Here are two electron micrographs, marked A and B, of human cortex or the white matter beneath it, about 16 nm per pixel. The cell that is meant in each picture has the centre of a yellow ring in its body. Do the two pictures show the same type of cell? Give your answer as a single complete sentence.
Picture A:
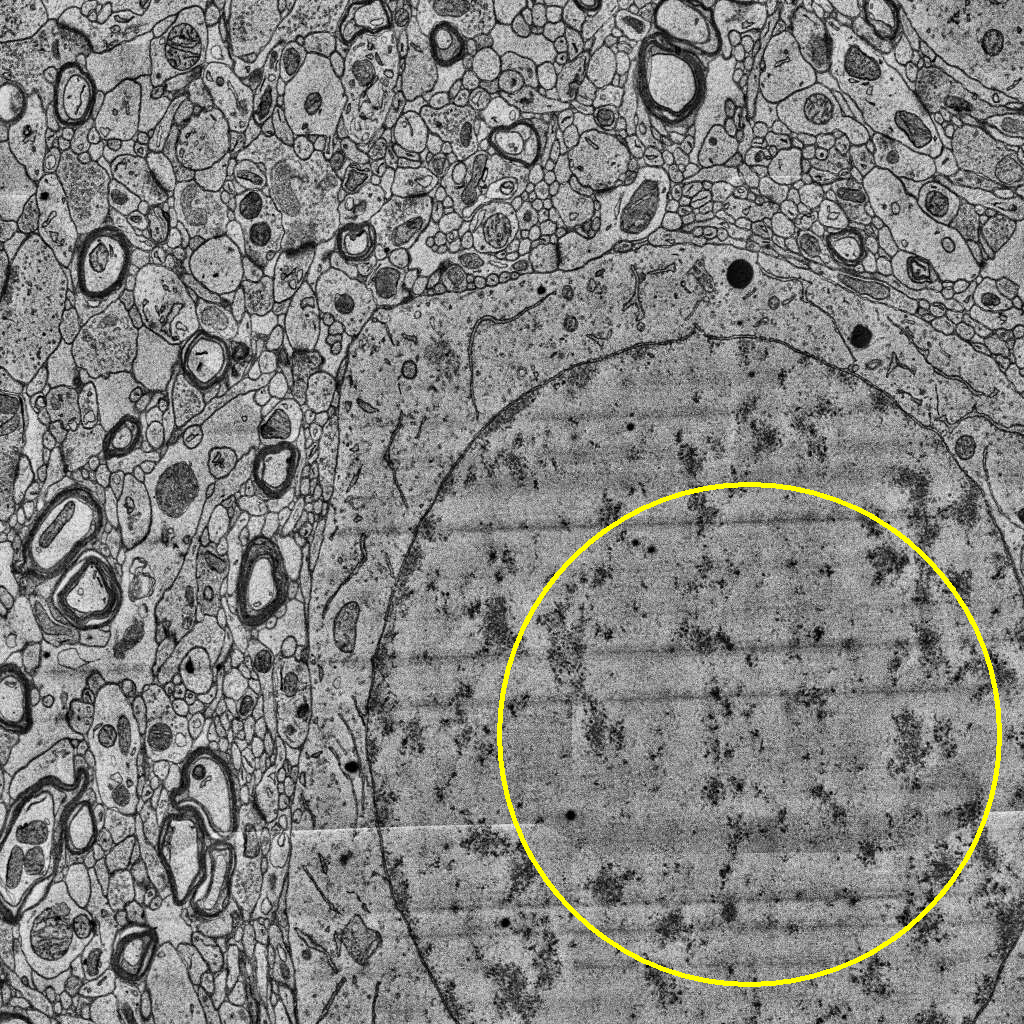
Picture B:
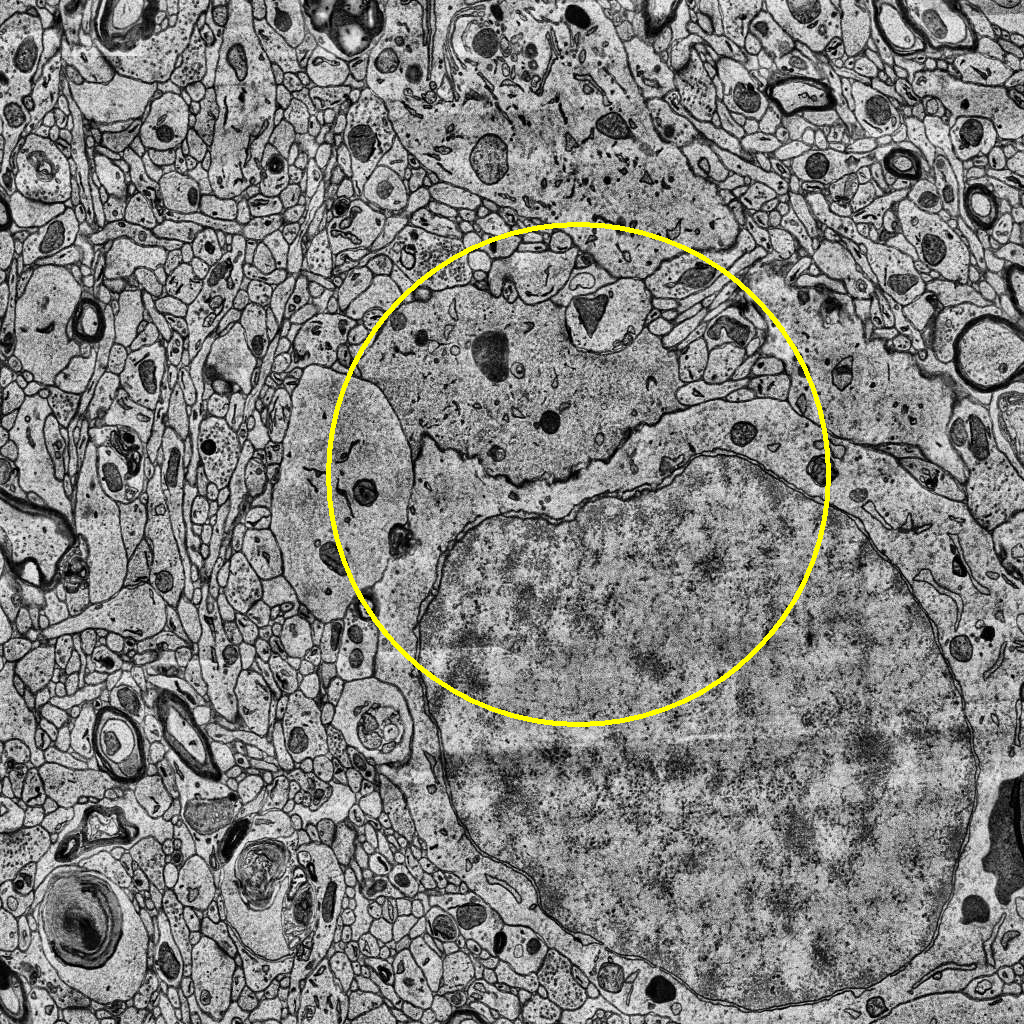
No. Picture A shows a pyramidal neuron, but picture B shows an oligodendrocyte.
